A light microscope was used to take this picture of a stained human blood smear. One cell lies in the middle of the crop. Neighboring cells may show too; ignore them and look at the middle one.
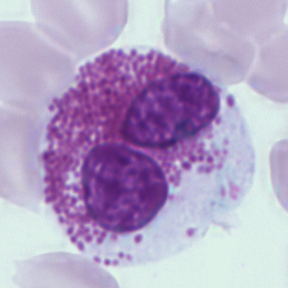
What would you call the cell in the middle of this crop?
eosinophil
